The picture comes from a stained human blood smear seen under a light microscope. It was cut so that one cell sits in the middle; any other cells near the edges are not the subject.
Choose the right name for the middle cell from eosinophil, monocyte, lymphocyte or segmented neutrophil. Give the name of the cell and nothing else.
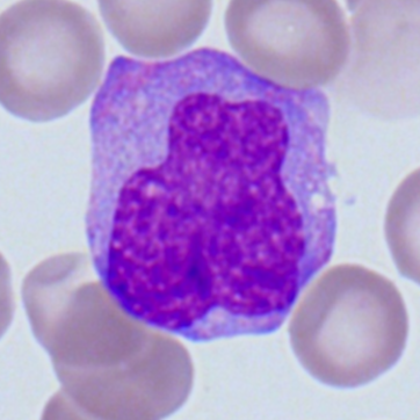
monocyte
